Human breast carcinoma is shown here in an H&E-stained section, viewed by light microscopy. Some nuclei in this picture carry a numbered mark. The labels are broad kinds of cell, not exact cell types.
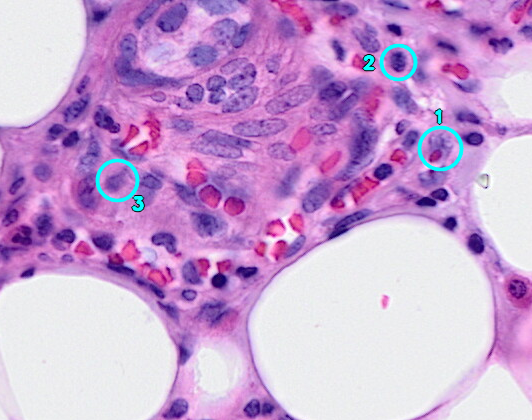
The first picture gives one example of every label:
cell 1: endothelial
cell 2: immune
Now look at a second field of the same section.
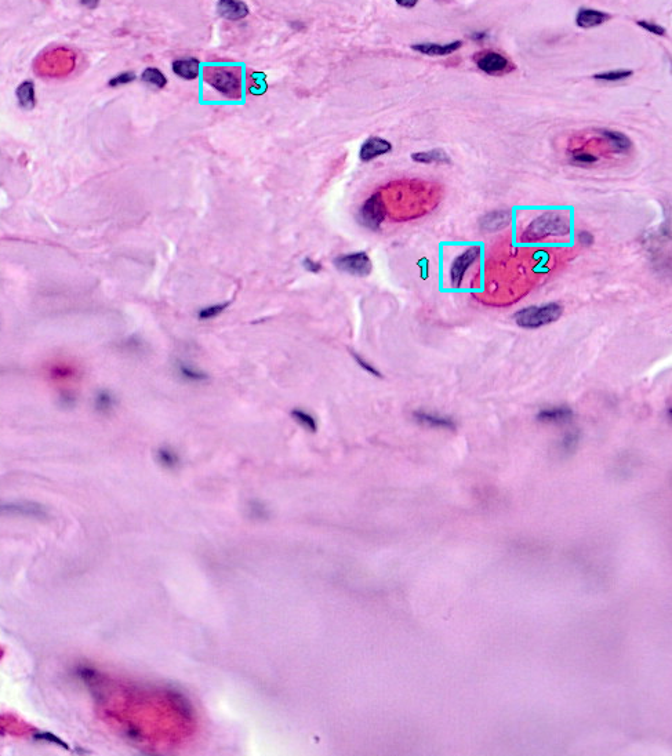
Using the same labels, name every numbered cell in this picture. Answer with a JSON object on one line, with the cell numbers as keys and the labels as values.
{"1": "endothelial", "2": "endothelial", "3": "immune"}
